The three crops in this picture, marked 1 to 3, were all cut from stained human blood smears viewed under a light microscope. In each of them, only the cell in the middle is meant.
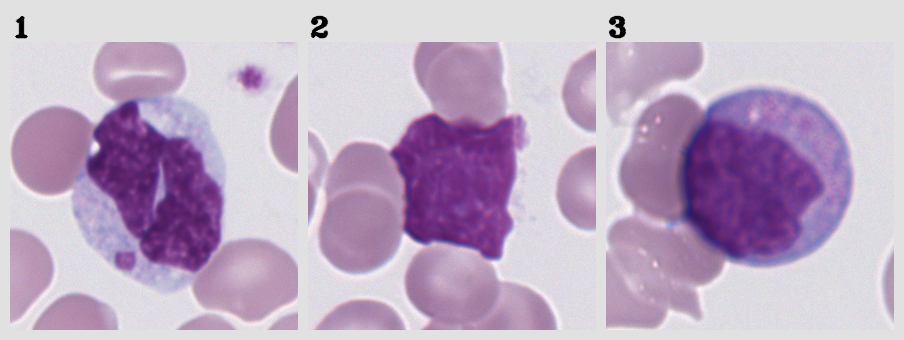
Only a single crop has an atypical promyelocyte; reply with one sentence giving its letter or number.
The one that shows an atypical promyelocyte is crop 3.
